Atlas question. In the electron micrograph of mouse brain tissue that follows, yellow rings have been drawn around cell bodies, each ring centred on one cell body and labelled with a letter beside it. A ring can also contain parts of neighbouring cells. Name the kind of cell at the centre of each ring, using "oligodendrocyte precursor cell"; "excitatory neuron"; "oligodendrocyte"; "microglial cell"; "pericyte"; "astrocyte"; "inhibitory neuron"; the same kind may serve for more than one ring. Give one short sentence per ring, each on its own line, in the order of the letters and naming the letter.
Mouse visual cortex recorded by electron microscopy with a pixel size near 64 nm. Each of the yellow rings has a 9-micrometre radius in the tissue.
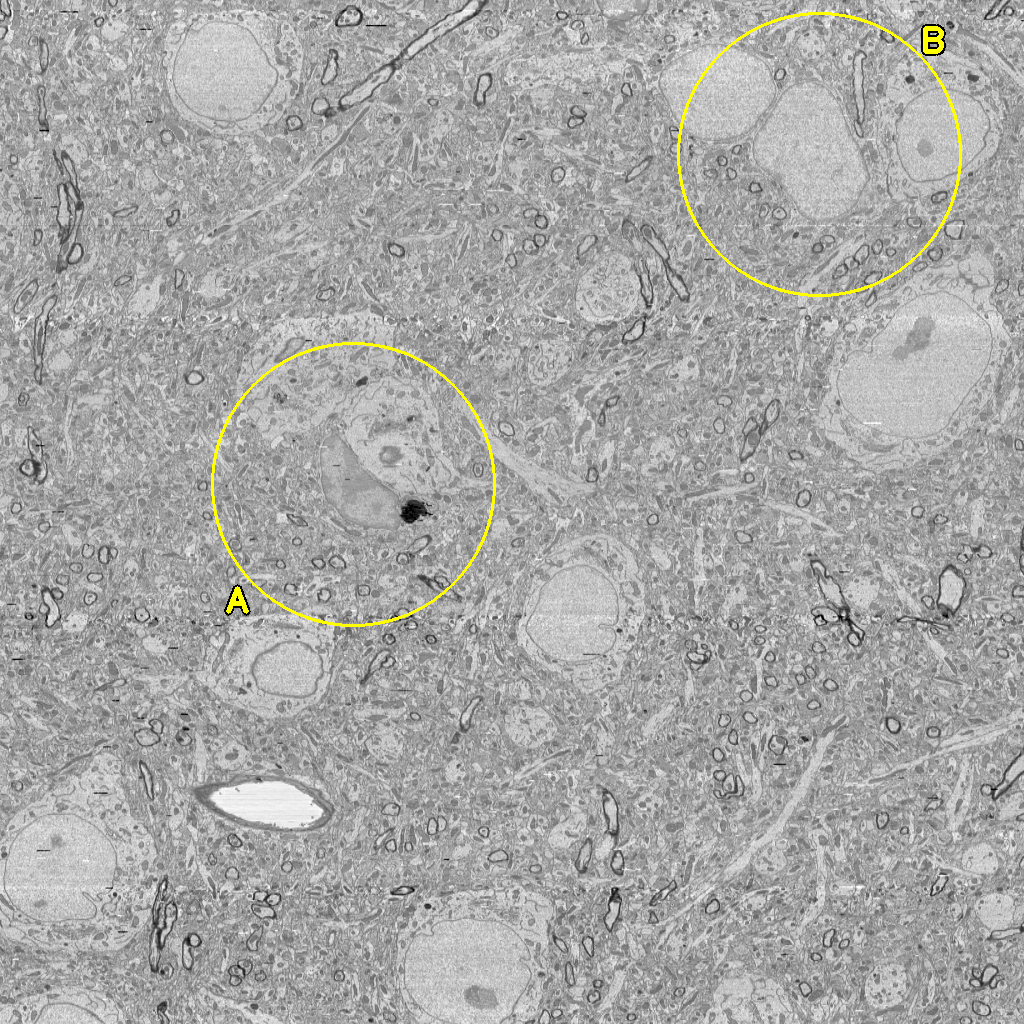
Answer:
For ring A, the cell at the centre is a microglial cell.
For ring B, the cell at the centre is an astrocyte.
